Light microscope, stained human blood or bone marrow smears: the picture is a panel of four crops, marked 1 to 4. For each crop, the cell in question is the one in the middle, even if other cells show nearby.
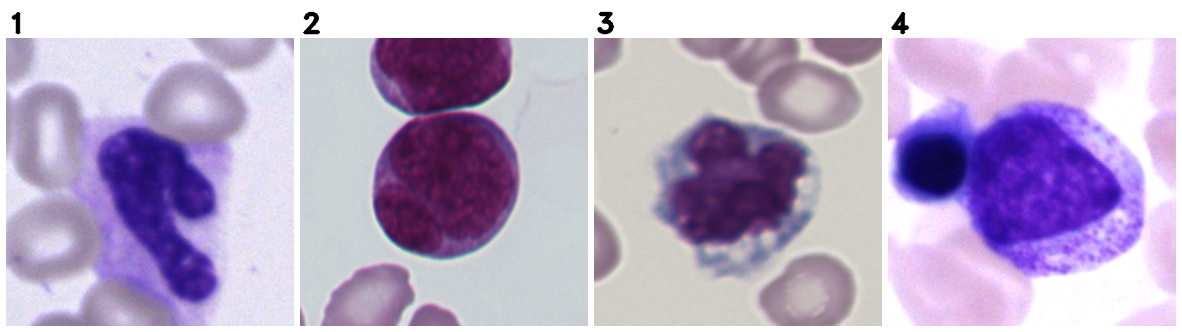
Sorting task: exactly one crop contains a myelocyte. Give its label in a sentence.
The crop that shows a myelocyte is crop 4.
